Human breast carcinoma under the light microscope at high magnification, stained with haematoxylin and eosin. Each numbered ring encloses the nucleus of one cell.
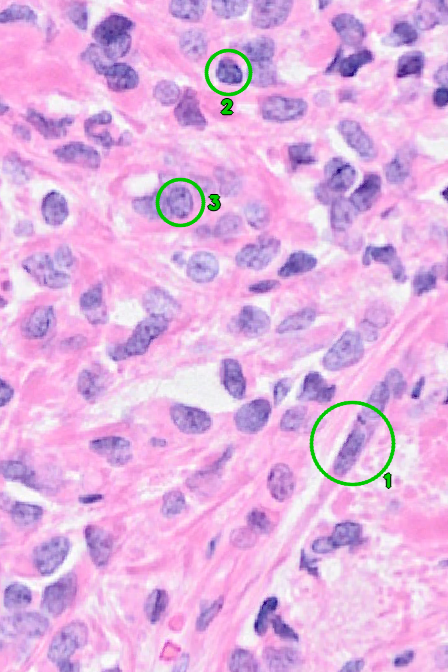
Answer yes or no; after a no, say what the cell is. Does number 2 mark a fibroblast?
No, it is a lymphocyte.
